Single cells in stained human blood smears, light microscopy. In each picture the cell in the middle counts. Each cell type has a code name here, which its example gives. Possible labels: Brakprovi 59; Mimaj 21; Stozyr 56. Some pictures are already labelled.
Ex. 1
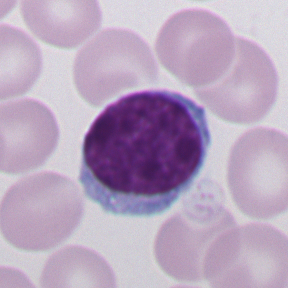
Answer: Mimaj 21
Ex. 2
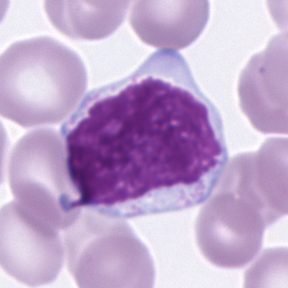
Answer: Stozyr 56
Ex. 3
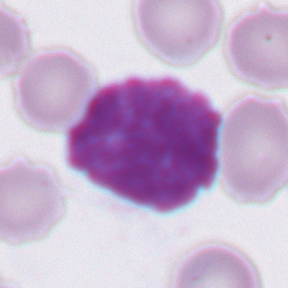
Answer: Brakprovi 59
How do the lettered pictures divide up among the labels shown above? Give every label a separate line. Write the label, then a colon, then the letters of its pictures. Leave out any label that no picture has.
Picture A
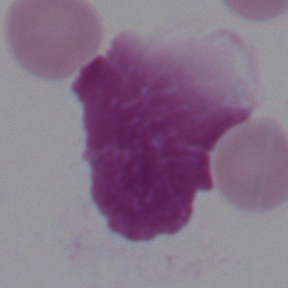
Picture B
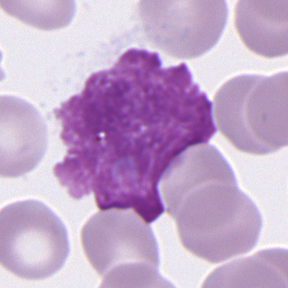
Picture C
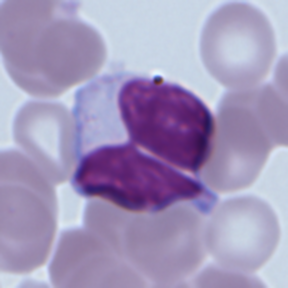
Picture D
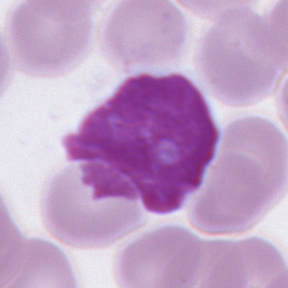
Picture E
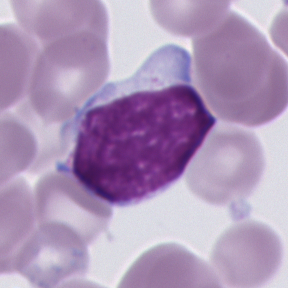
Brakprovi 59: A, B, D
Stozyr 56: C, E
